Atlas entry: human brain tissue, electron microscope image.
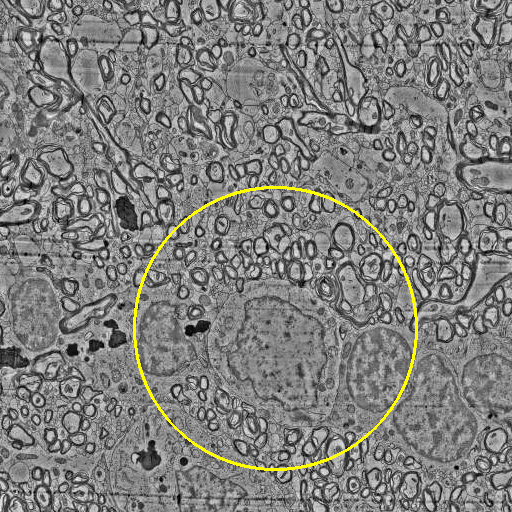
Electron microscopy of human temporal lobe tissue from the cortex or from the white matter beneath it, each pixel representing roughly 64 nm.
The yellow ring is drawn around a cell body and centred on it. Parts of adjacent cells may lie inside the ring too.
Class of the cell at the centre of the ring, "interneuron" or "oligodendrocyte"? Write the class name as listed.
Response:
interneuron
